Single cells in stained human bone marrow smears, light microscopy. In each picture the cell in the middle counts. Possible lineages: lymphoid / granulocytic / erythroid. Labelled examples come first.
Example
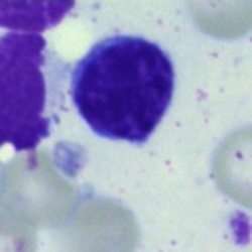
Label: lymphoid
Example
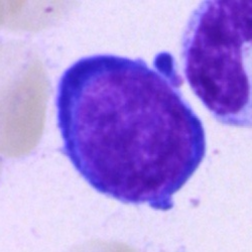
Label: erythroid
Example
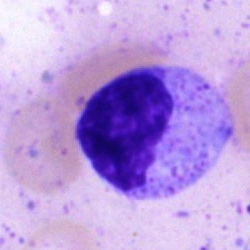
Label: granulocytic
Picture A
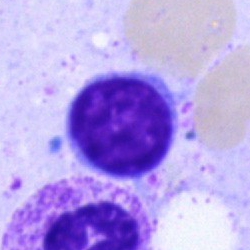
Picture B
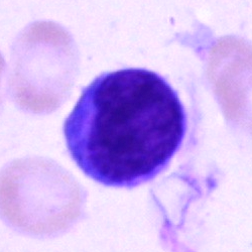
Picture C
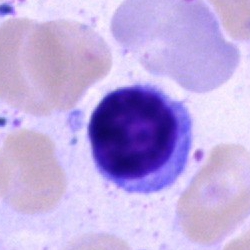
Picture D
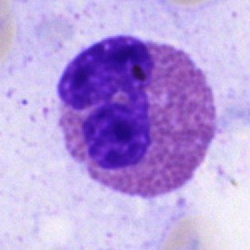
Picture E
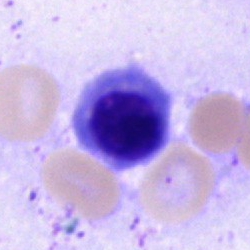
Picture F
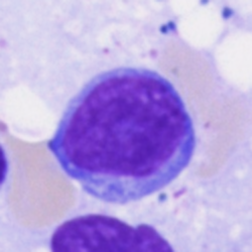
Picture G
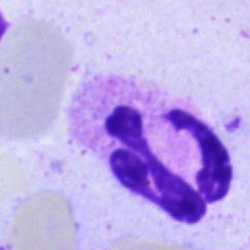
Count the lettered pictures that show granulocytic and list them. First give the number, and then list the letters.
2, namely D, G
